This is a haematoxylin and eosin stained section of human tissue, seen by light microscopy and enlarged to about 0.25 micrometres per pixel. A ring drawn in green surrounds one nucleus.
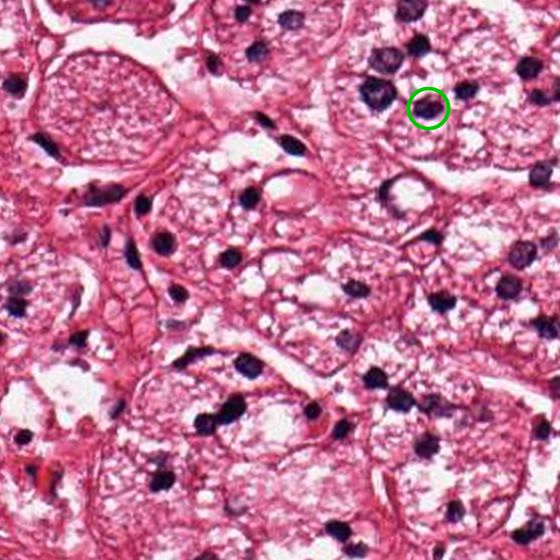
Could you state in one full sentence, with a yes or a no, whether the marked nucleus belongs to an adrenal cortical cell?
Yes, an adrenal cortical cell is the owner of the marked nucleus.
